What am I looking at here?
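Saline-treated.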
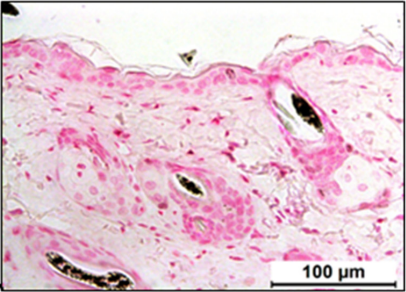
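This section of skin shows a thin epidermis of flattened cells with pink nuclei along the top edge. No dark brown-black nuclei stand out clearly in the surface layer. Below it the dermis contains scattered pink cells in a pale fibrous matrix. Hair follicles cut at an angle lie in the dermis, their sheaths made of pink cells around dark pigmented hair shafts.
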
